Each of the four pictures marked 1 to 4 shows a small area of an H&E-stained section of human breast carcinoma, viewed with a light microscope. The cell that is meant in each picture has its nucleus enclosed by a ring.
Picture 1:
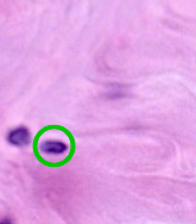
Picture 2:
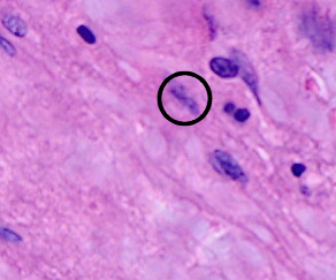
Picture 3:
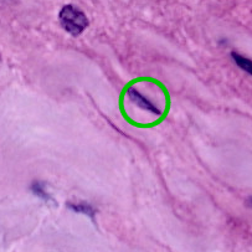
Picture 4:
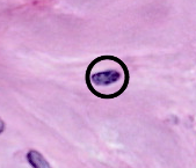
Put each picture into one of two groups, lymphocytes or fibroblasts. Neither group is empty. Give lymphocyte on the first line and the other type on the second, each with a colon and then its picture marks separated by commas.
lymphocyte: 1, 4
fibroblast: 2, 3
